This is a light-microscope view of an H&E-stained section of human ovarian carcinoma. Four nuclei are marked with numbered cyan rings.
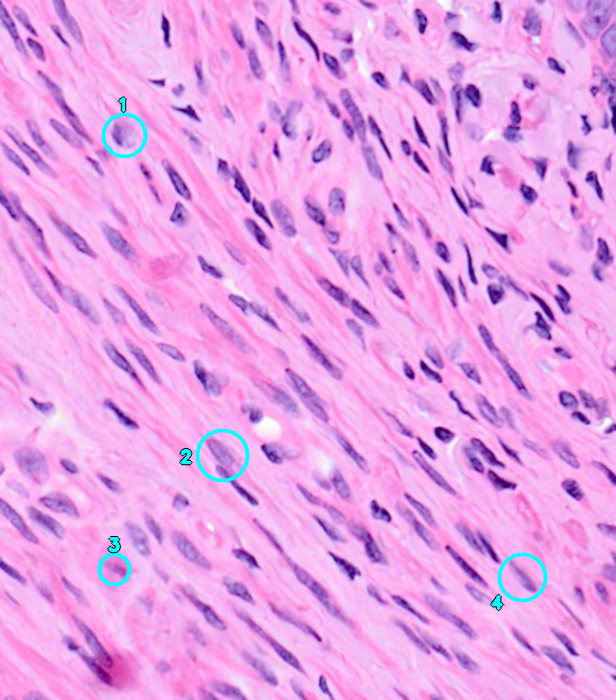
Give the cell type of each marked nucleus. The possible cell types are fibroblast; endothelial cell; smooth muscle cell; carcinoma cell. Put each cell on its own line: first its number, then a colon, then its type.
1: fibroblast
2: smooth muscle cell
3: smooth muscle cell
4: smooth muscle cell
